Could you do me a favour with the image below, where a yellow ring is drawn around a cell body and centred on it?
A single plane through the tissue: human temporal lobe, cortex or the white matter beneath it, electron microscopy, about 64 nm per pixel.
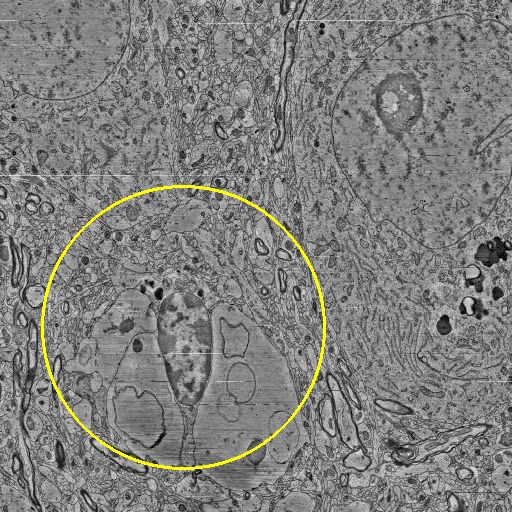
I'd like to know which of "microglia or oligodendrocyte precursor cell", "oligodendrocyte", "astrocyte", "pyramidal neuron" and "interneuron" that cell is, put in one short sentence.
The cell at the ring's centre is a microglial cell or oligodendrocyte precursor cell.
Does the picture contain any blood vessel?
Yes, there is one.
